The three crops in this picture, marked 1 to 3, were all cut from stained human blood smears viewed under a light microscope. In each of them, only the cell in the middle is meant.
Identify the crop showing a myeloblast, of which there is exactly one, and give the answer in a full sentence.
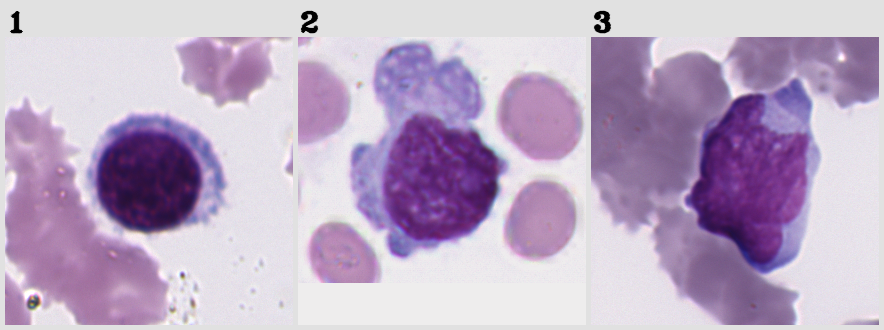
The crop with a myeloblast in it is crop 3.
